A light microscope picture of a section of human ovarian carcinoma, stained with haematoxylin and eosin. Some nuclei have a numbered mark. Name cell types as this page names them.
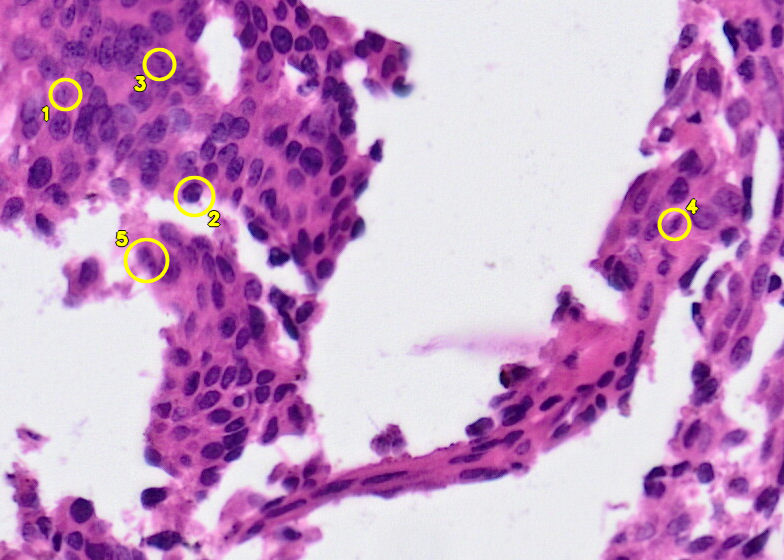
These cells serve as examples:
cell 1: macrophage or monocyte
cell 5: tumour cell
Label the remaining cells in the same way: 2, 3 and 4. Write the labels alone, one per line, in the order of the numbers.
tumour cell
tumour cell
macrophage or monocyte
